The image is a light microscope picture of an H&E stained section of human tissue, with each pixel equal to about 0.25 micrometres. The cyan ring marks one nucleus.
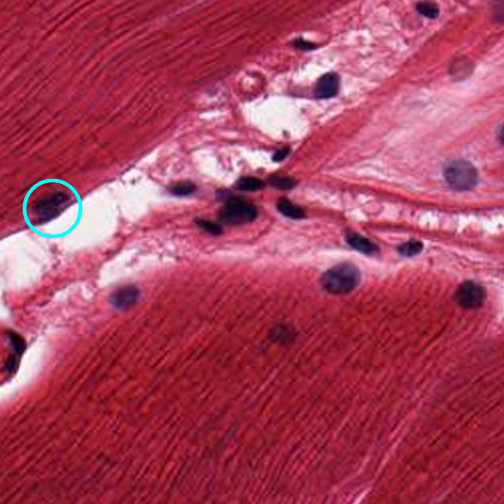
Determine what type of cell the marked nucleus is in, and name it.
skeletal muscle fibre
